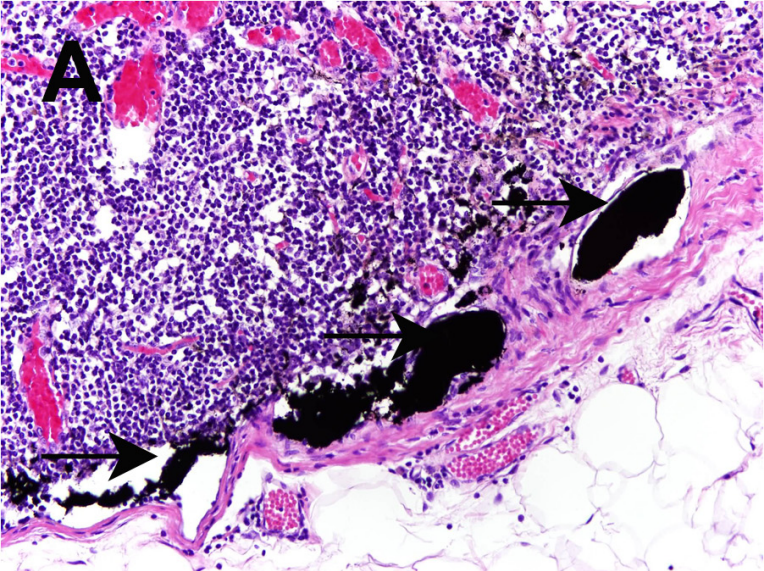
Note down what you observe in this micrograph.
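Lymph node edge with densely packed small lymphocytes showing round, dark purple nuclei and scant cytoplasm. Several thin-walled vessels packed with red blood cells run through the lymphoid tissue. At the lower border, channels just inside a thin pink fibrous capsule are filled with solid, opaque black deposits; fine black specks also lie scattered among lymphocytes nearby. Outside the capsule lies pale, empty-looking adipose tissue with small blood vessels. No large atypical cells are evident.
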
